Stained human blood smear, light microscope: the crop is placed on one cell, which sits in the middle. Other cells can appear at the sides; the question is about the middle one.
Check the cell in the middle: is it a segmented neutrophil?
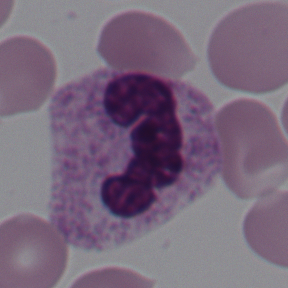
yes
